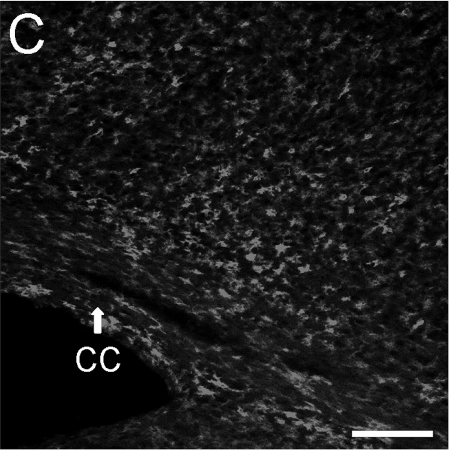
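The cells are small, with compact bodies and short, irregular, branched processes; many look stubby and rounded rather than finely ramified, in keeping with activated cells. They are spread densely and fairly evenly across the upper part of the field. Toward the lower left a band of white matter runs diagonally, with elongated bright cells strung along it, and beneath it lies a dark empty space, the ventricle, whose border is also lined by stained cells.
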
